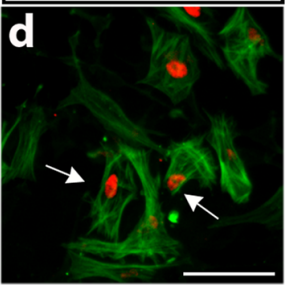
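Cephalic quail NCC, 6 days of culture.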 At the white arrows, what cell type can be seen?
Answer: Myofibroblastic cells.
